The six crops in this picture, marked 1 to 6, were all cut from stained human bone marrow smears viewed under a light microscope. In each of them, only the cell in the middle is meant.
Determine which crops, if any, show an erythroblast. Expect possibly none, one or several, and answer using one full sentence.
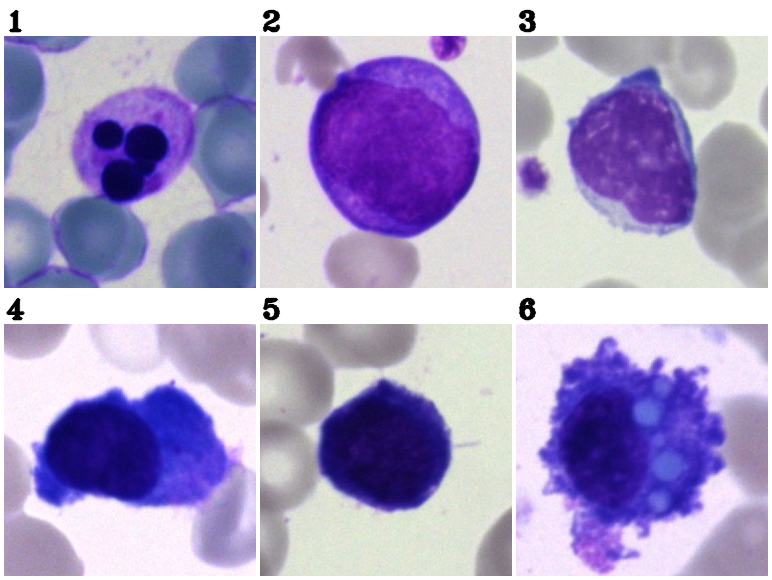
The only crop with an erythroblast at its center is crop 5.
